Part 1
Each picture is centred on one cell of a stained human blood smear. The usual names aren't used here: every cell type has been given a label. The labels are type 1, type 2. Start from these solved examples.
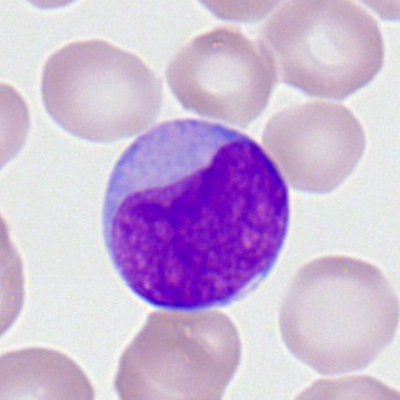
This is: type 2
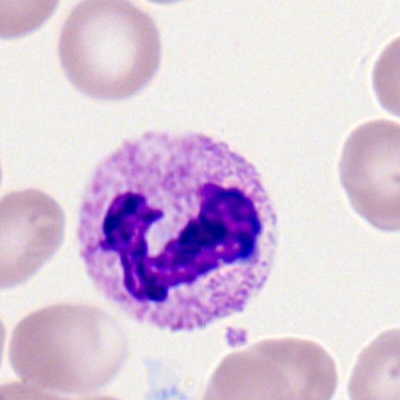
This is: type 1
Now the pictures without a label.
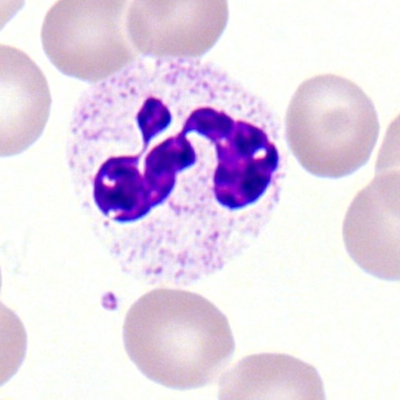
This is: type 1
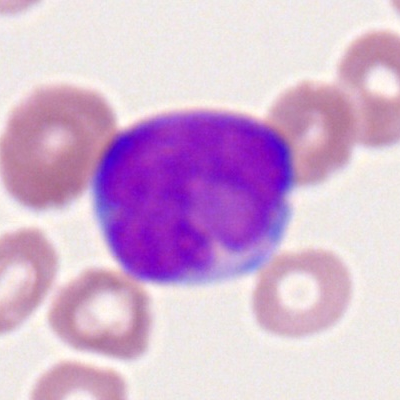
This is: type 2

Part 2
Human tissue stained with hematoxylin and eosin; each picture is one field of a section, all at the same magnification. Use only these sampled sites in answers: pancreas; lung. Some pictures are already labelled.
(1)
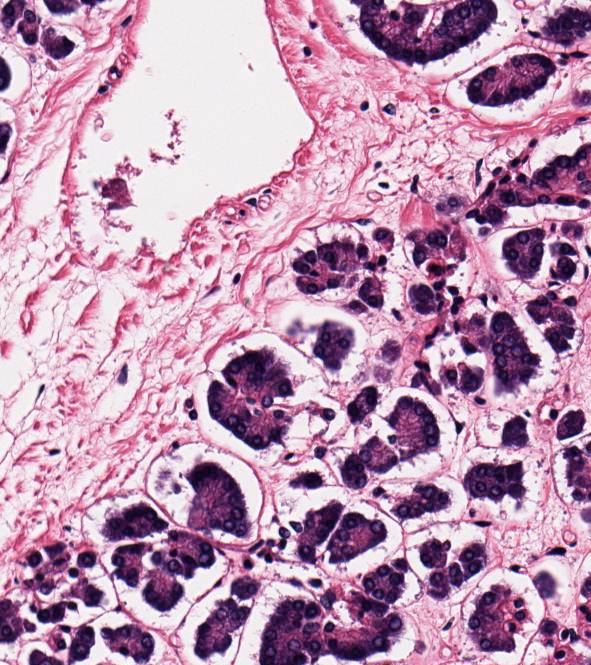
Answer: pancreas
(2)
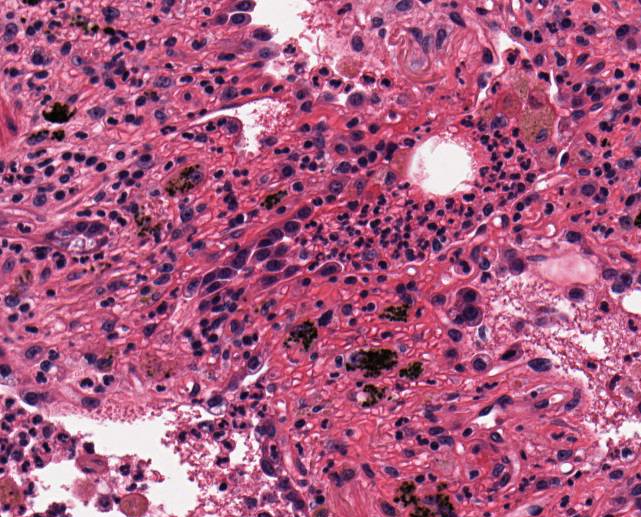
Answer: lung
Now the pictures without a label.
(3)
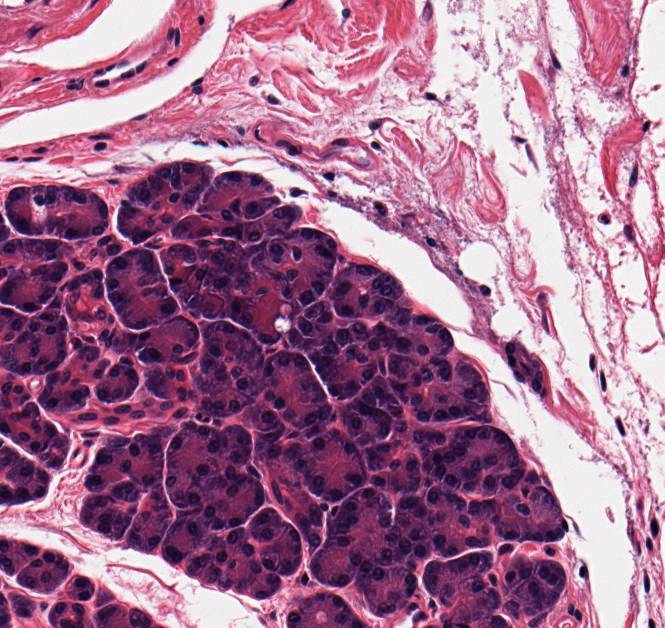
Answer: pancreas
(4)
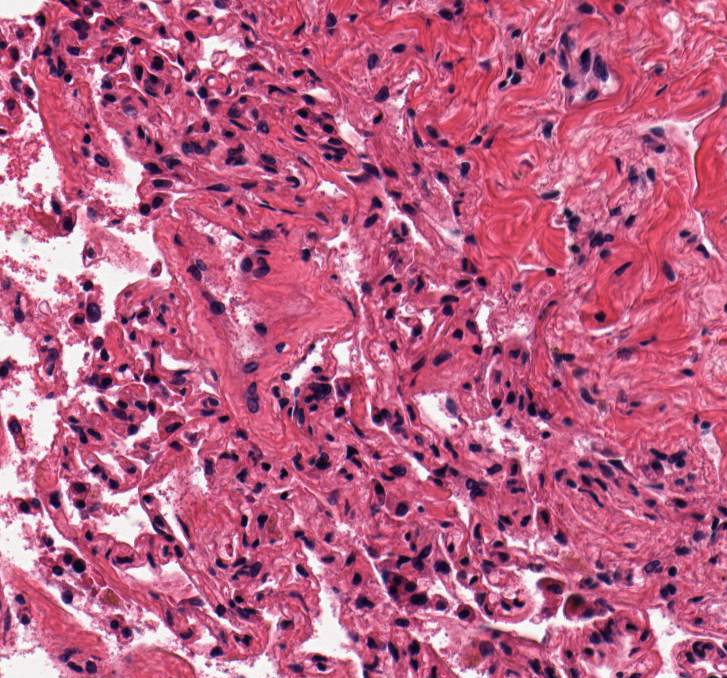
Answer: lung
